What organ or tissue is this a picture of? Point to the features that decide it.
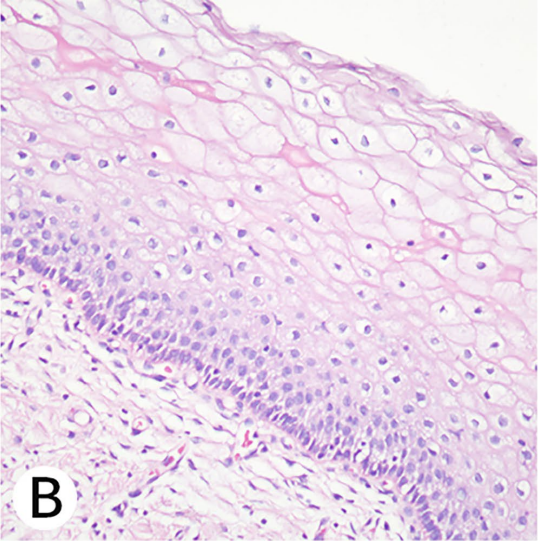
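Many layers of cells stacked above a basal row of dark, crowded nuclei. Cells toward the surface become large, flattened and pale with small nuclei. A thin pink stroma with small vessels lies beneath the basal layer. On this evidence: squamous epithelium.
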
